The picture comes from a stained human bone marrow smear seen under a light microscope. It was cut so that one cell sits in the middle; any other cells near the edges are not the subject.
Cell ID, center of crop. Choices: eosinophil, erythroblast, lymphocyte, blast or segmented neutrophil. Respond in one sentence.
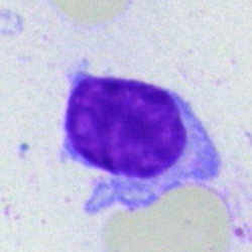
The centrally positioned cell in the crop represents a lymphocyte.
